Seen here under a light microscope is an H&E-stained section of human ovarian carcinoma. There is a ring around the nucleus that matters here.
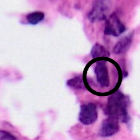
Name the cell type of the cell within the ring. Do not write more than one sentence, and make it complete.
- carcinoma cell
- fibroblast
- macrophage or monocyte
Histopathologically, the cell within the ring is a carcinoma cell.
